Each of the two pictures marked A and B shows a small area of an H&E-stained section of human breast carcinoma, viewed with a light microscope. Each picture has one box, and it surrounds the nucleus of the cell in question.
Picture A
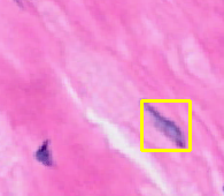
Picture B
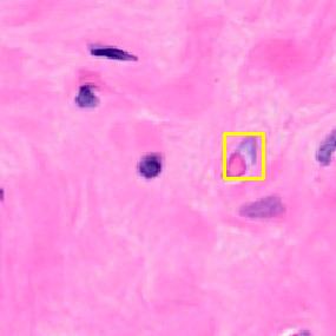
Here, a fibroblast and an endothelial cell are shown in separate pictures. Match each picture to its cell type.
A: fibroblast
B: endothelial cell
